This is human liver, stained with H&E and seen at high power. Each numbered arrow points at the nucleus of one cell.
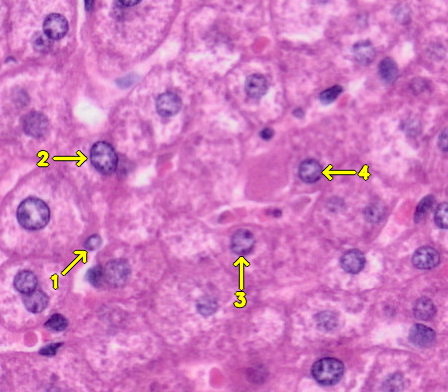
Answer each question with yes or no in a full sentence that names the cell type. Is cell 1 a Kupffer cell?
Yes, the cell with the number 1 is a Kupffer cell.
